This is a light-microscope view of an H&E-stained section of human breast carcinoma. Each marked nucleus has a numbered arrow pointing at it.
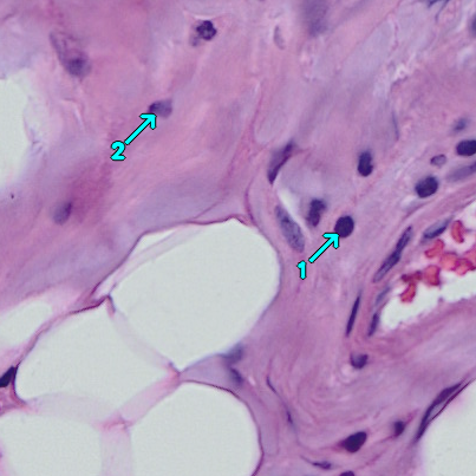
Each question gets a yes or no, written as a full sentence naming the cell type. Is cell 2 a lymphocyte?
No, the cell carrying number 2 is a fibroblast rather than a lymphocyte.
